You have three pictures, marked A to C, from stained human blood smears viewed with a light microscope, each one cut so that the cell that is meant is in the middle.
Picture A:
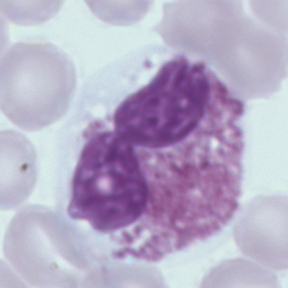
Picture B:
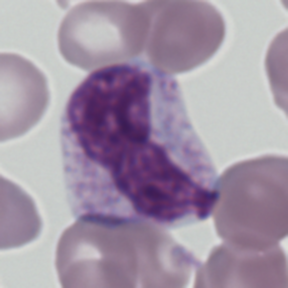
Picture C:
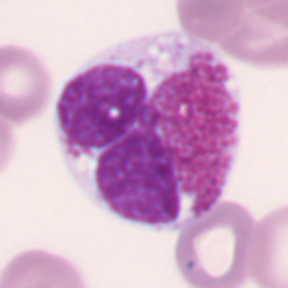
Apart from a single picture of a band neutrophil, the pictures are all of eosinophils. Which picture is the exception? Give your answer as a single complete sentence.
The cell in picture B is the band neutrophil.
